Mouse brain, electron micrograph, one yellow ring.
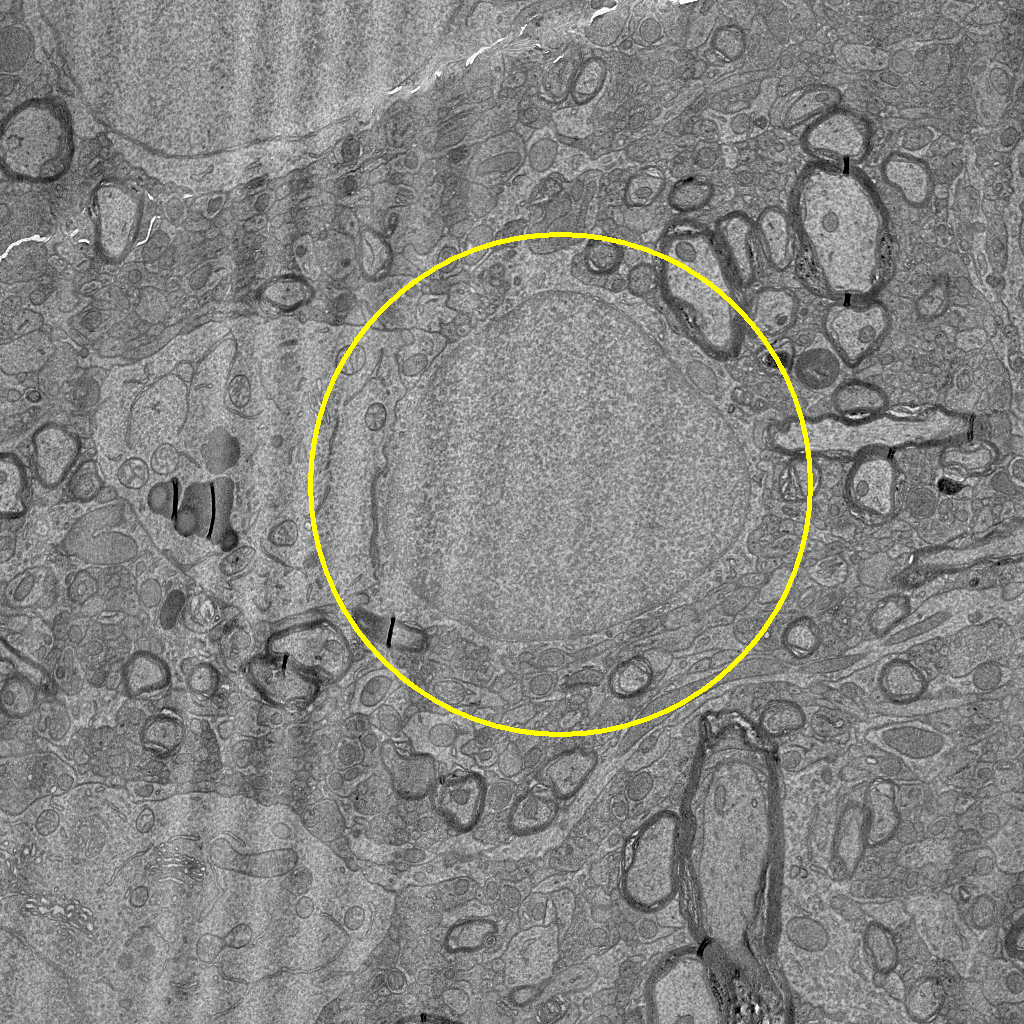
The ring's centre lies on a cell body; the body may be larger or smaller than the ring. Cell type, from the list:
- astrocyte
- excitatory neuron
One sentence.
The yellow ring's centre lies on an astrocyte.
